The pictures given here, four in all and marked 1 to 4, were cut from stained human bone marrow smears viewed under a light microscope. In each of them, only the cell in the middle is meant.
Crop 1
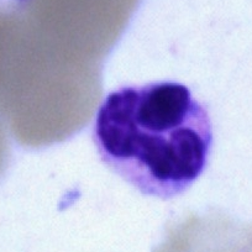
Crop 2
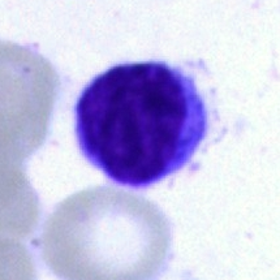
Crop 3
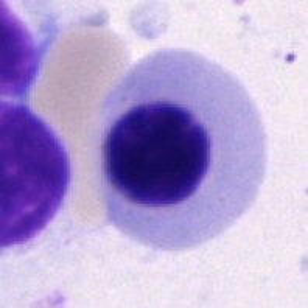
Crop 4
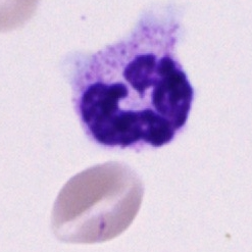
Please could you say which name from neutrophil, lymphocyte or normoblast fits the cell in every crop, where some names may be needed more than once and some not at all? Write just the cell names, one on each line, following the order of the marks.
neutrophil
lymphocyte
normoblast
neutrophil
